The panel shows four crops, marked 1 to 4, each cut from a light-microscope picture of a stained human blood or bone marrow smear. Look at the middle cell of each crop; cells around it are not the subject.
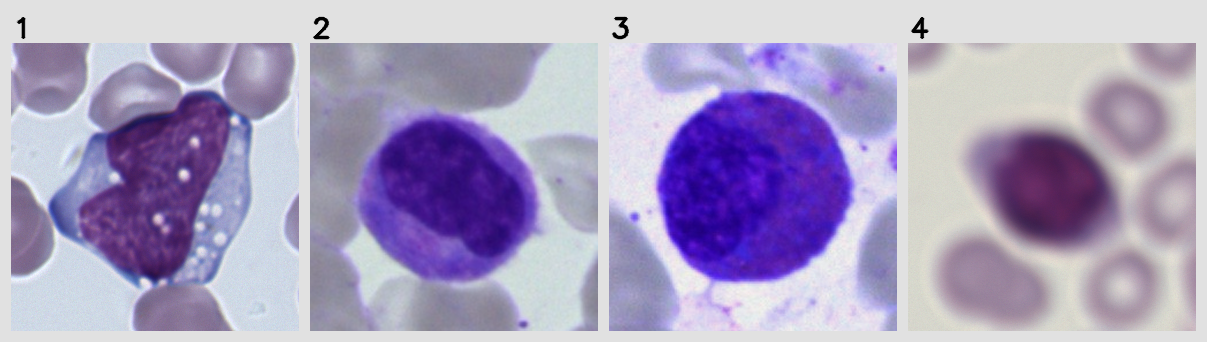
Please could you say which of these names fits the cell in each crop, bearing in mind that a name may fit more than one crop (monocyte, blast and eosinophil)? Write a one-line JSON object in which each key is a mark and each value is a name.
{"1": "blast", "2": "monocyte", "3": "eosinophil", "4": "blast"}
